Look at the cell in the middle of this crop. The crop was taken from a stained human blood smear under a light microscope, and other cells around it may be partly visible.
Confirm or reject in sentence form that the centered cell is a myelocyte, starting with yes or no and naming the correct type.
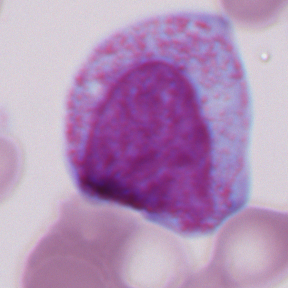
Yes, the cell positioned in the middle is a myelocyte.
